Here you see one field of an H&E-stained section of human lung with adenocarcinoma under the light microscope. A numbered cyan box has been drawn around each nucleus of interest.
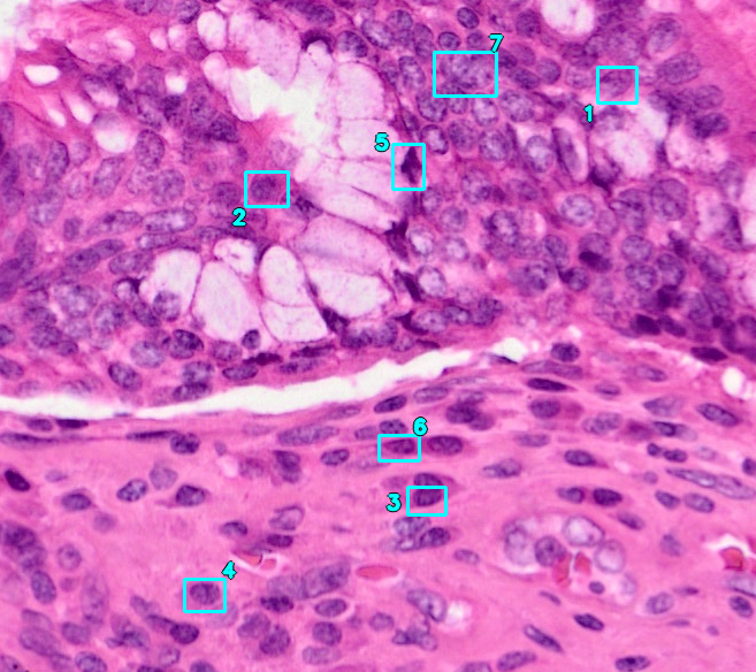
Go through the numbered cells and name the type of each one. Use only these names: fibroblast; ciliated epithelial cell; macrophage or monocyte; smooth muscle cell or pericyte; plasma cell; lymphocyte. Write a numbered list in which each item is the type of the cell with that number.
1. ciliated epithelial cell
2. ciliated epithelial cell
3. plasma cell
4. plasma cell
5. ciliated epithelial cell
6. plasma cell
7. ciliated epithelial cell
